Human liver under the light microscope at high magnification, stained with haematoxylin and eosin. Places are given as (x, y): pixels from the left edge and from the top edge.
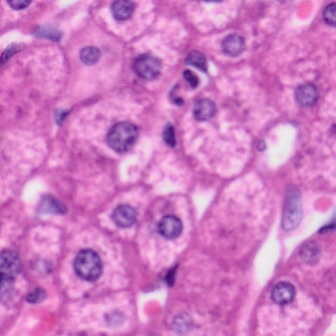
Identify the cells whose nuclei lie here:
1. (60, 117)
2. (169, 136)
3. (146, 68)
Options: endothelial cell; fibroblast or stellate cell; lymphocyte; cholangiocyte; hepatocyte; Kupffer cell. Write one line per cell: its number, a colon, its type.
1: endothelial cell
2: fibroblast or stellate cell
3: hepatocyte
